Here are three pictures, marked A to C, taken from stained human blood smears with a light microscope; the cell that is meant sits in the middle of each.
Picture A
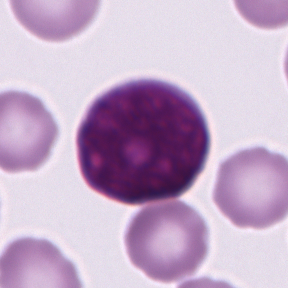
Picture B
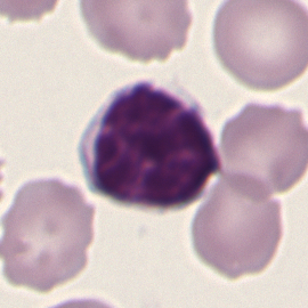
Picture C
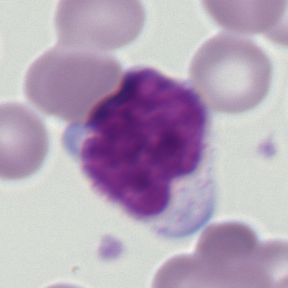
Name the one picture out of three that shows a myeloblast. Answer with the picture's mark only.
A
